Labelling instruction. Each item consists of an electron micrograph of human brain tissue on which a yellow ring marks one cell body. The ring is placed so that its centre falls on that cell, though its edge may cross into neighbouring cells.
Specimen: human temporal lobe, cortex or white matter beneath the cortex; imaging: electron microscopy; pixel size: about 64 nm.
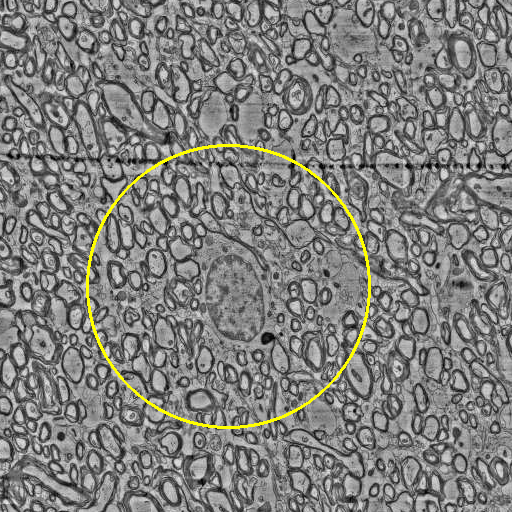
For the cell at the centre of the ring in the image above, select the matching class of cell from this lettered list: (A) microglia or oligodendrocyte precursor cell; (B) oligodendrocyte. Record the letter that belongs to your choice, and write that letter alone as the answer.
B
